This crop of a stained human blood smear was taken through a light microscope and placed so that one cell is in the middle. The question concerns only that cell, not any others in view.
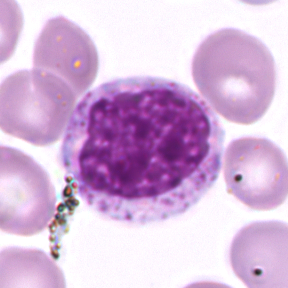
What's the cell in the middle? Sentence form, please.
Answering briefly, the cell in the middle is a myelocyte.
